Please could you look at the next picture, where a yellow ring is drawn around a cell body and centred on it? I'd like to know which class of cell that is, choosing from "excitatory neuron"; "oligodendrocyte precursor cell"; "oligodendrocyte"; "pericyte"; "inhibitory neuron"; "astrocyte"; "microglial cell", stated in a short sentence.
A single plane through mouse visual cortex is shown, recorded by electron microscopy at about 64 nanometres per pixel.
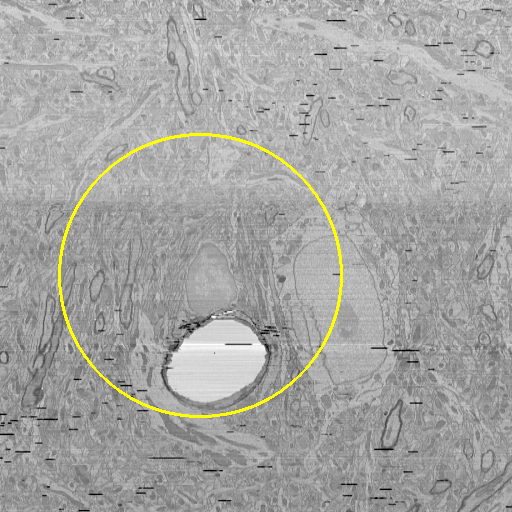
The ring's centre lies on a microglial cell.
